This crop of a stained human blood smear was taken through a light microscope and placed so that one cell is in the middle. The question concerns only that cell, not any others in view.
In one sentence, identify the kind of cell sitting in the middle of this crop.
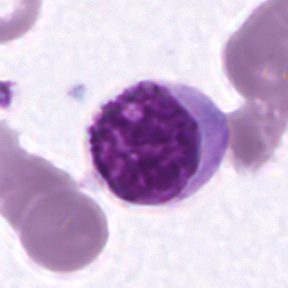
Here the centrally located cell is a plasma cell.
